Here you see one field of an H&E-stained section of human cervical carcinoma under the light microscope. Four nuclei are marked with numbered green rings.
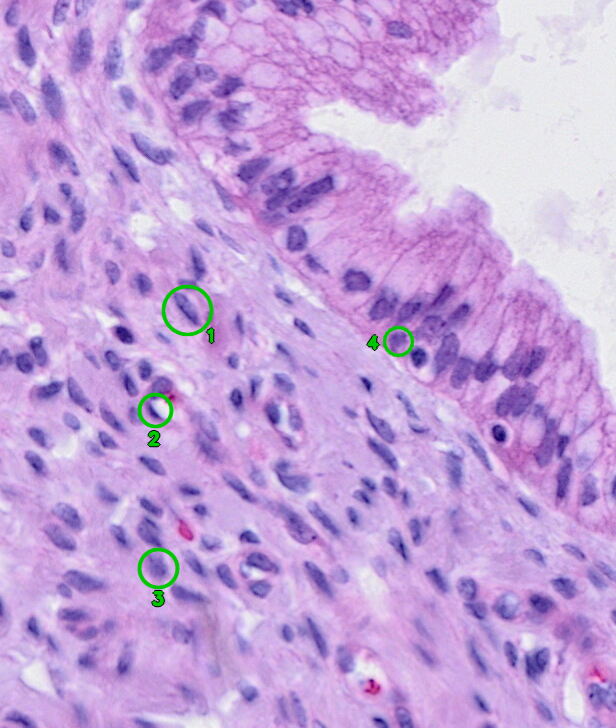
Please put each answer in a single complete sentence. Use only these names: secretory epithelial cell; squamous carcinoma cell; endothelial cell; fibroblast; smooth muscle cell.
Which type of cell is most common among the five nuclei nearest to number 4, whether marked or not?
Most of the five nuclei nearest to number 4 are those of secretory epithelial cells.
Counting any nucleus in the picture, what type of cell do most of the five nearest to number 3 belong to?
Fibroblasts account for more than half of the five nuclei nearest to number 3.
